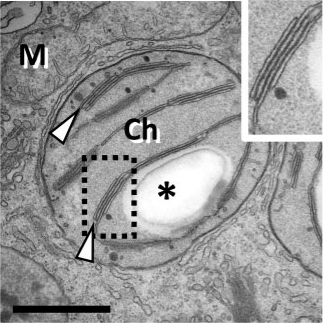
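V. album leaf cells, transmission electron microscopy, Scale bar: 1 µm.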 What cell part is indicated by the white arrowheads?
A: Grana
